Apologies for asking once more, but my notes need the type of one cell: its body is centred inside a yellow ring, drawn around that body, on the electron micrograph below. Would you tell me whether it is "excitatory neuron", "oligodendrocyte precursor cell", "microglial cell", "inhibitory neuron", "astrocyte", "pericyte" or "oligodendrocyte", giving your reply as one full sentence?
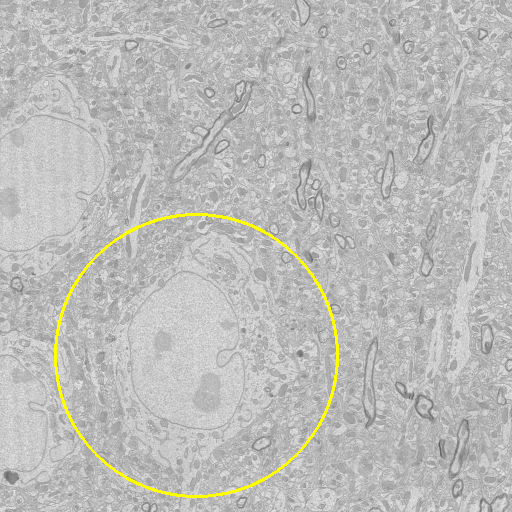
The cell that the yellow ring is centred on is an excitatory neuron in this micrograph.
